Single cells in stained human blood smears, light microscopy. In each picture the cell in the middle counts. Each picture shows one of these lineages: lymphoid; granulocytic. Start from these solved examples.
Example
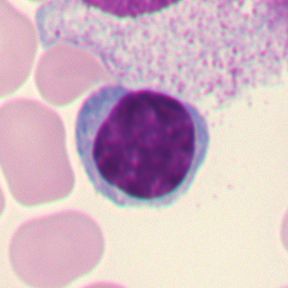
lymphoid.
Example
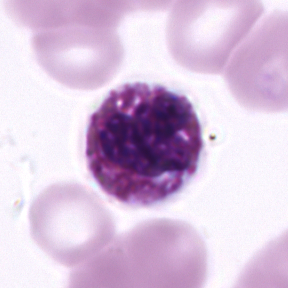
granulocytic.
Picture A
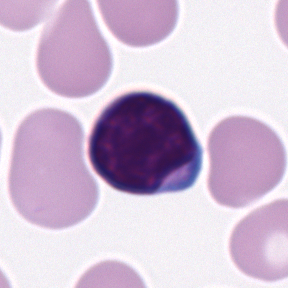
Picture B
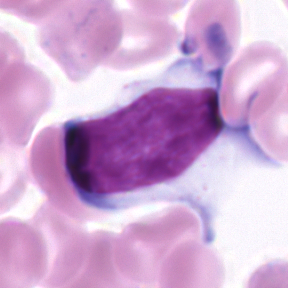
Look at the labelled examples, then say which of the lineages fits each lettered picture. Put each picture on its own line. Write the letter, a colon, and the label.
A: lymphoid.
B: lymphoid.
